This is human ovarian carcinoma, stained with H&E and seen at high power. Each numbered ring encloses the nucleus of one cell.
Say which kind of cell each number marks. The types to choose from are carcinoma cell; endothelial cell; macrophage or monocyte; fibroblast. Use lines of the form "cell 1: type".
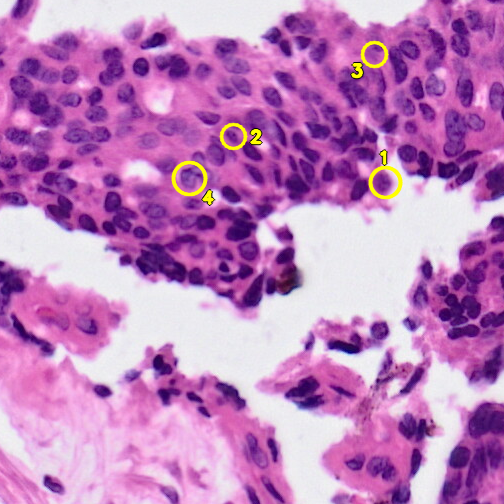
cell 1: carcinoma cell
cell 2: carcinoma cell
cell 3: carcinoma cell
cell 4: macrophage or monocyte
